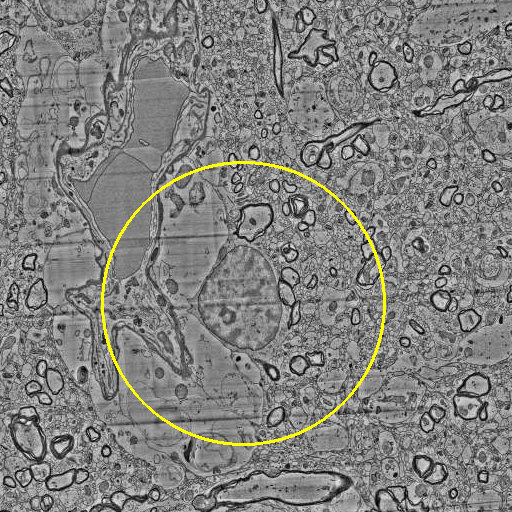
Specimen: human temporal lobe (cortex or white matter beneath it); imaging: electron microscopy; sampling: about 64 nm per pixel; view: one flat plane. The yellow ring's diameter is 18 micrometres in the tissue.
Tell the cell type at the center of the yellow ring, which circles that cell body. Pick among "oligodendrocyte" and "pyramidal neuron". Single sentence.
The ring is centered on the body of an oligodendrocyte.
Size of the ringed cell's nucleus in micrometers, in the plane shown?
The nucleus works out at approximately 7 by 5 micrometres in this plane.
